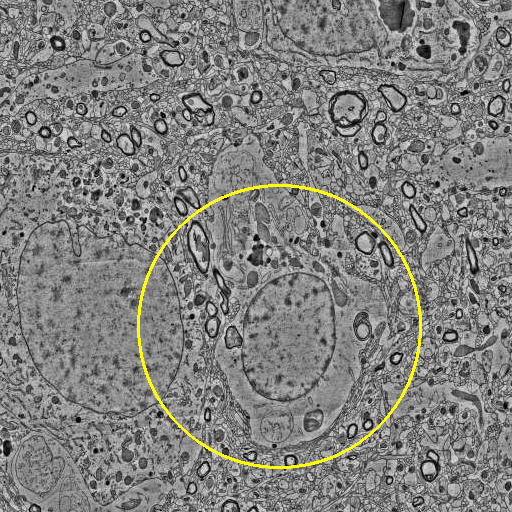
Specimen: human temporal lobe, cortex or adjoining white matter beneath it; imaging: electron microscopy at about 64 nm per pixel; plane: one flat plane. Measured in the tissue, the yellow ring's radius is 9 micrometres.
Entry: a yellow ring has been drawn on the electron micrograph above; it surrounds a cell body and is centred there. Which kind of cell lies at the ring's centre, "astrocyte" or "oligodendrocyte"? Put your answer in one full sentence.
The cell sitting at the ring's centre is an astrocyte in the micrograph above.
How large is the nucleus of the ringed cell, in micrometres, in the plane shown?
In this plane, roughly 8 by 6 micrometres.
